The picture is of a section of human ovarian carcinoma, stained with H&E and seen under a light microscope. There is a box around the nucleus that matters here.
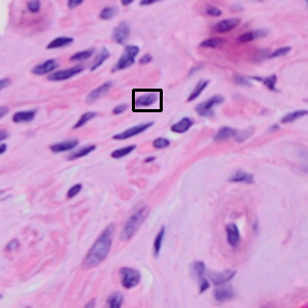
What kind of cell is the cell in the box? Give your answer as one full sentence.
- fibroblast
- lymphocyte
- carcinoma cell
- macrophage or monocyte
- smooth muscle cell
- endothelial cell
To be brief about it, the cell in the box is a smooth muscle cell.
